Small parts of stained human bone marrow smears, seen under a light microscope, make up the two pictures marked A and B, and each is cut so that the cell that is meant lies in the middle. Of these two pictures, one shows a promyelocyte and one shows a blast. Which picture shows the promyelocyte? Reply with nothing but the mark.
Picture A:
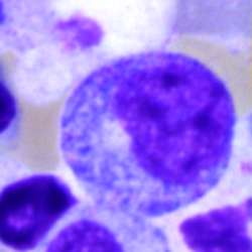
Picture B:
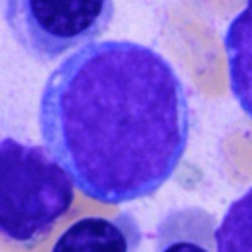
A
